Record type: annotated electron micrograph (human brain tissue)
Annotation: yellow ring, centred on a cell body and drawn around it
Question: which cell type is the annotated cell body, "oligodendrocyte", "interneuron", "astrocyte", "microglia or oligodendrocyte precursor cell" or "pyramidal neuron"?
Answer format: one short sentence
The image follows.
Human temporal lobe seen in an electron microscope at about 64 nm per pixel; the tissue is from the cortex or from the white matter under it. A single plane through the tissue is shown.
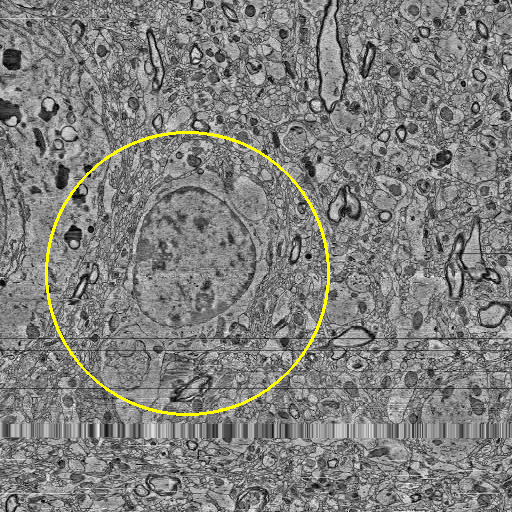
The annotated cell body is that of a microglial cell or oligodendrocyte precursor cell.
